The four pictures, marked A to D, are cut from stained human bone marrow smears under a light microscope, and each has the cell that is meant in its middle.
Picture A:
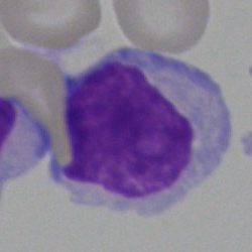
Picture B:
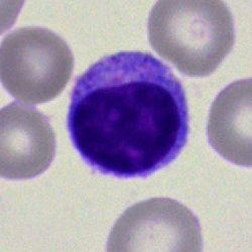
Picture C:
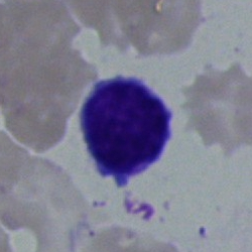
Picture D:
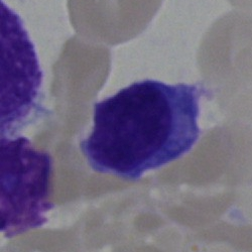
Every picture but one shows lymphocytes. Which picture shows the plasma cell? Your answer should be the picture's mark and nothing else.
D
